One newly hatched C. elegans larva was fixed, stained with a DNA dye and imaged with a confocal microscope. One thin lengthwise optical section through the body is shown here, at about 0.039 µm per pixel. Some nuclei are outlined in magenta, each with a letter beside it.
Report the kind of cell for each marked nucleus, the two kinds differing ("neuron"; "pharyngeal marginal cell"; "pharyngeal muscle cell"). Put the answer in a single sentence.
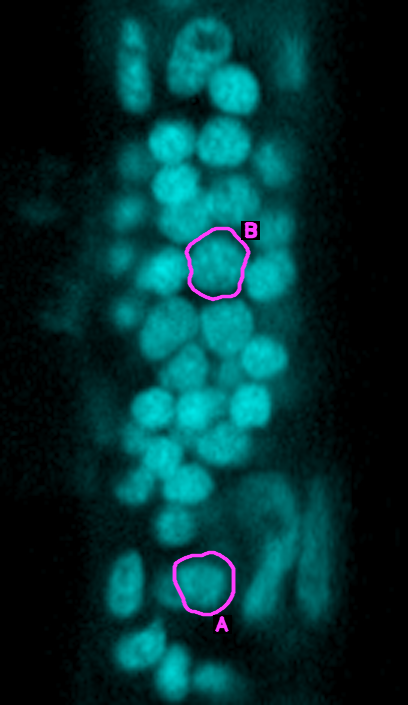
The nucleus A is that of a pharyngeal muscle cell, while B is that of a neuron.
